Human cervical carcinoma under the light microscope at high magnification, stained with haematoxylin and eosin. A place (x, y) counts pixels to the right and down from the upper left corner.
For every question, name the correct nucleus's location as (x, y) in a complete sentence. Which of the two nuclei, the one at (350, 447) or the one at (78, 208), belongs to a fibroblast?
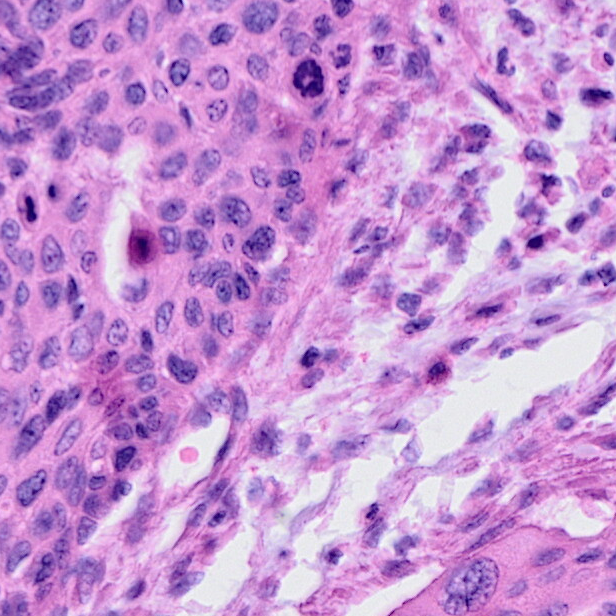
Assigned to a fibroblast is the nucleus located at (350, 447).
